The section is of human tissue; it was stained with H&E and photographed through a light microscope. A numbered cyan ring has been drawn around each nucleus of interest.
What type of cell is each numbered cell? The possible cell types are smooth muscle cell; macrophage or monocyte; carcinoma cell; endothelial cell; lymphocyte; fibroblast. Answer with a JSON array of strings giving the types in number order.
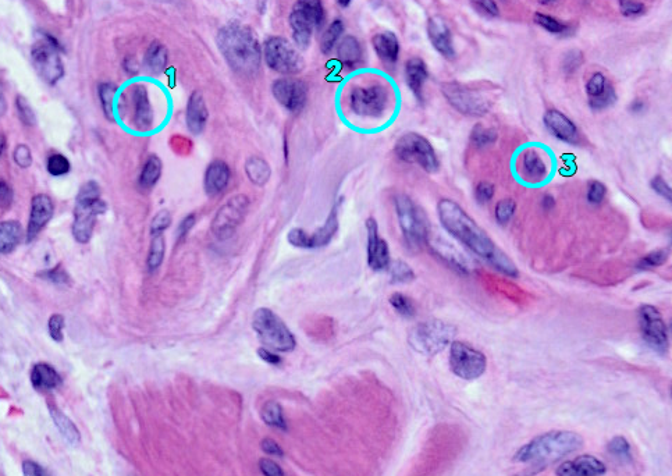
["endothelial cell", "macrophage or monocyte", "smooth muscle cell"]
